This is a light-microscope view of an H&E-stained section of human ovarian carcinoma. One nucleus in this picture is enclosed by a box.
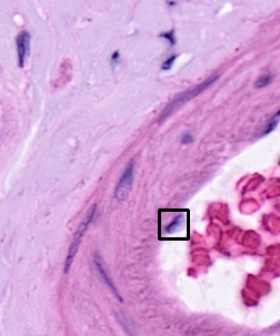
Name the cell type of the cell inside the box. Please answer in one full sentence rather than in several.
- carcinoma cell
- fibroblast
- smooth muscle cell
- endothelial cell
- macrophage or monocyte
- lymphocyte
To be brief about it, the cell inside the box is an endothelial cell.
